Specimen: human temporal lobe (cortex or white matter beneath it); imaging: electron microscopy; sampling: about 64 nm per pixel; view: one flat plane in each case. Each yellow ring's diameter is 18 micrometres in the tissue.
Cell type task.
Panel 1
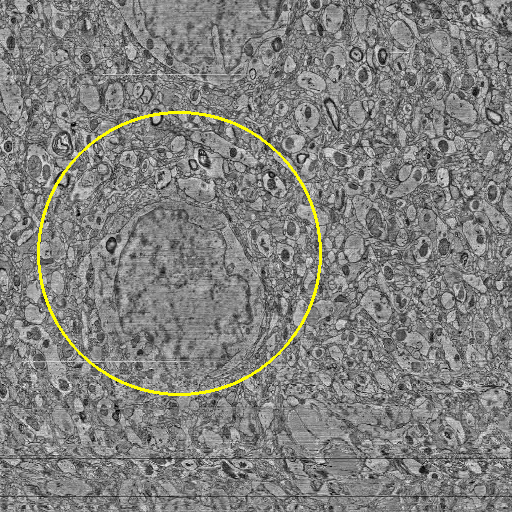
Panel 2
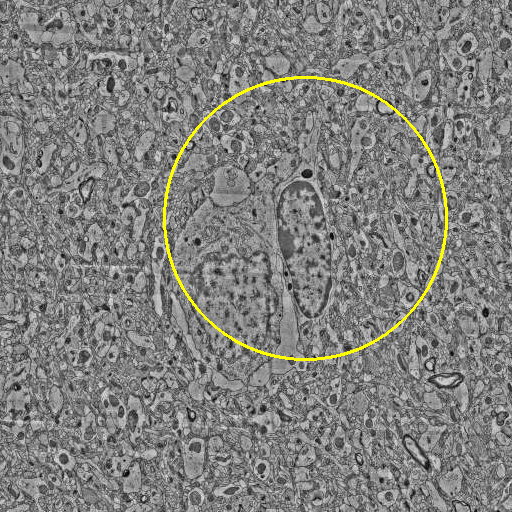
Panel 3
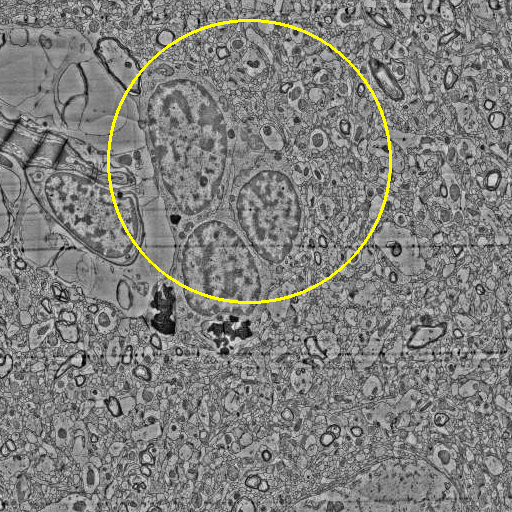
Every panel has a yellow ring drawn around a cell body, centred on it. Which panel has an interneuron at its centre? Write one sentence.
It sits at the centre of the ring in Panel 1.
